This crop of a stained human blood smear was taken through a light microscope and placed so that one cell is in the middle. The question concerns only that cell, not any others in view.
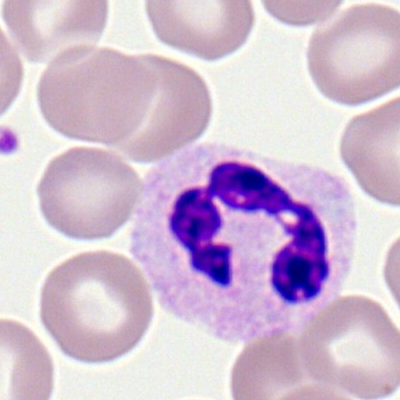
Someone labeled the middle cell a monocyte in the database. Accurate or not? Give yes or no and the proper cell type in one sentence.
No, this cell in the middle is a segmented neutrophil, so it is not a monocyte.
